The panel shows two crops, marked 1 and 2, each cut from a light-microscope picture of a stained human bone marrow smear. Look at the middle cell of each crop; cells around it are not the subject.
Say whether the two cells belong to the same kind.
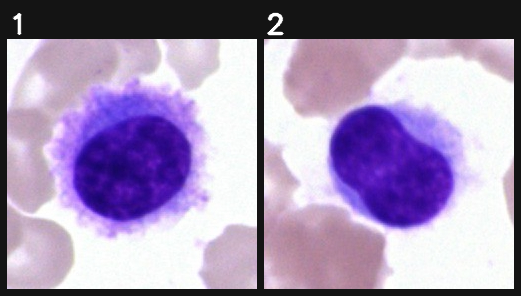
yes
